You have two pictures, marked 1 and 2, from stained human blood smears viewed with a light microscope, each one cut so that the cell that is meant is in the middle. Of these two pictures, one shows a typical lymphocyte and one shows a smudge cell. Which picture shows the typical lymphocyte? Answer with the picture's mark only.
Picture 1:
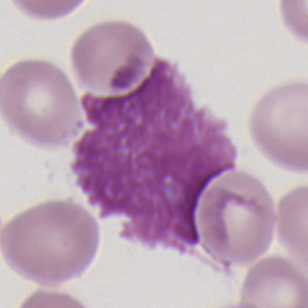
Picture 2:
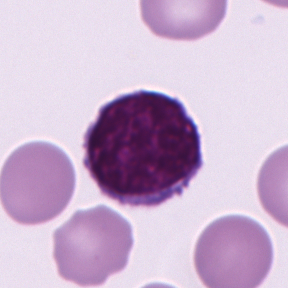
2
